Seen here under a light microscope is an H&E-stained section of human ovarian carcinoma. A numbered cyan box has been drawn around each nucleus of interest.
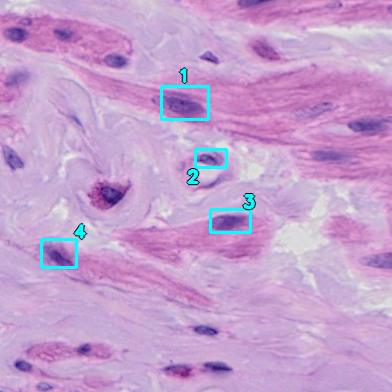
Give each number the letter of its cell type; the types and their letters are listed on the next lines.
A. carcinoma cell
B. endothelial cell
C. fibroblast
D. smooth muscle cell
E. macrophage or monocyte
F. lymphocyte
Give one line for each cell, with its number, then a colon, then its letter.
1: D
2: B
3: D
4: D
